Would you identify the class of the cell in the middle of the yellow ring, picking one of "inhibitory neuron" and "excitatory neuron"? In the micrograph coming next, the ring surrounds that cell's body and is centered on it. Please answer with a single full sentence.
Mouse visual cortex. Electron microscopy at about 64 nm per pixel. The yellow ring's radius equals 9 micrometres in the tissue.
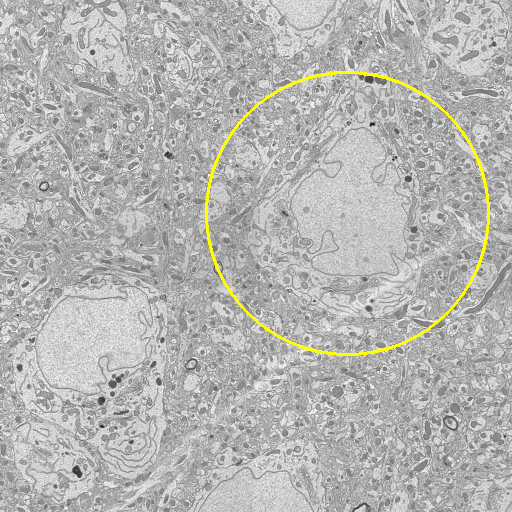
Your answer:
In the micrograph, it is an inhibitory neuron whose body lies at the ring's center.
